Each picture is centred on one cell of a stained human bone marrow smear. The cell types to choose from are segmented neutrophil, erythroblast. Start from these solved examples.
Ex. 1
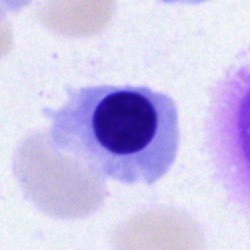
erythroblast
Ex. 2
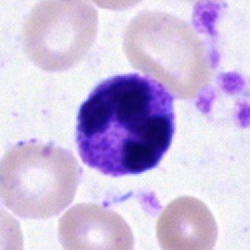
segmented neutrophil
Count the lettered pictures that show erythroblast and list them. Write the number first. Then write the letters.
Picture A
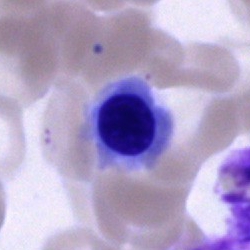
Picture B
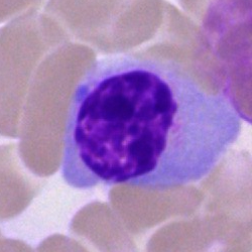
Count: 2 (A, B)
